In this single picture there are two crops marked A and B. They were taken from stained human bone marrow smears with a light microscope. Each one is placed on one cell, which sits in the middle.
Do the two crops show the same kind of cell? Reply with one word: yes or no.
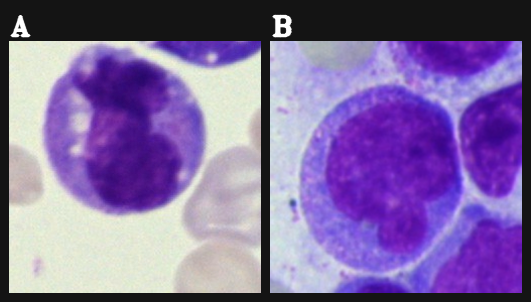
yes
